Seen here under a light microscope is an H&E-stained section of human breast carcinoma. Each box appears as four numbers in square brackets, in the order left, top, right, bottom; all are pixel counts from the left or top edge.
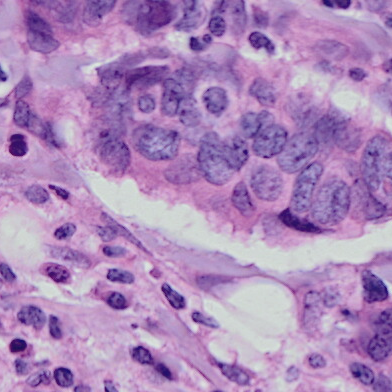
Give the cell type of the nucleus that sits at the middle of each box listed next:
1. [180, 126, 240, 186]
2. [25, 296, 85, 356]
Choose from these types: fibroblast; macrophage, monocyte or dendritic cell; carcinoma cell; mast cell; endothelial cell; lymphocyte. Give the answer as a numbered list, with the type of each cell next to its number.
1. carcinoma cell
2. lymphocyte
